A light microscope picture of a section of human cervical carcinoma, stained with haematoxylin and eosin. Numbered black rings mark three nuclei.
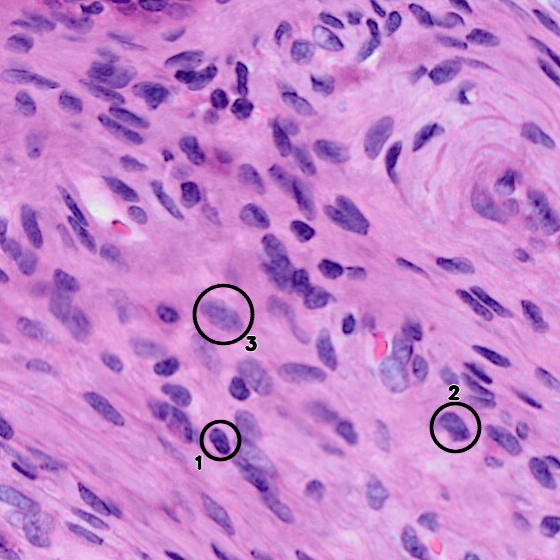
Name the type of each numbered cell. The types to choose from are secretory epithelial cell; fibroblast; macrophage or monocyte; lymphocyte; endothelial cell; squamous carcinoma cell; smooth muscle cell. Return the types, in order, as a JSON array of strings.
["lymphocyte", "fibroblast", "fibroblast"]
